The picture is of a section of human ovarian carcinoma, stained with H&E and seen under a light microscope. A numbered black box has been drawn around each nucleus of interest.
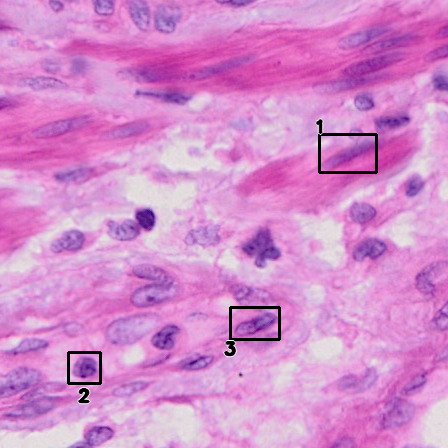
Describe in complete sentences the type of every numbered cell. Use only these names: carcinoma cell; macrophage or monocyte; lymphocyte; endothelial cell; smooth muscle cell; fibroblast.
Cell 1 is a smooth muscle cell, cell 2 is a lymphocyte and cell 3 is an endothelial cell.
